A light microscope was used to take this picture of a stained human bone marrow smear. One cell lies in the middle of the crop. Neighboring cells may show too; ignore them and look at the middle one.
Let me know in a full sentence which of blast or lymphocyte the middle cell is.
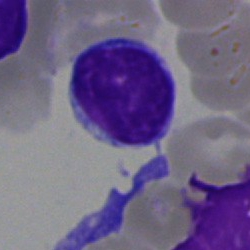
Framed in the middle of the crop is a lymphocyte.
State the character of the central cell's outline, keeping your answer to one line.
Nothing juts out from the margin, which is smooth throughout.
